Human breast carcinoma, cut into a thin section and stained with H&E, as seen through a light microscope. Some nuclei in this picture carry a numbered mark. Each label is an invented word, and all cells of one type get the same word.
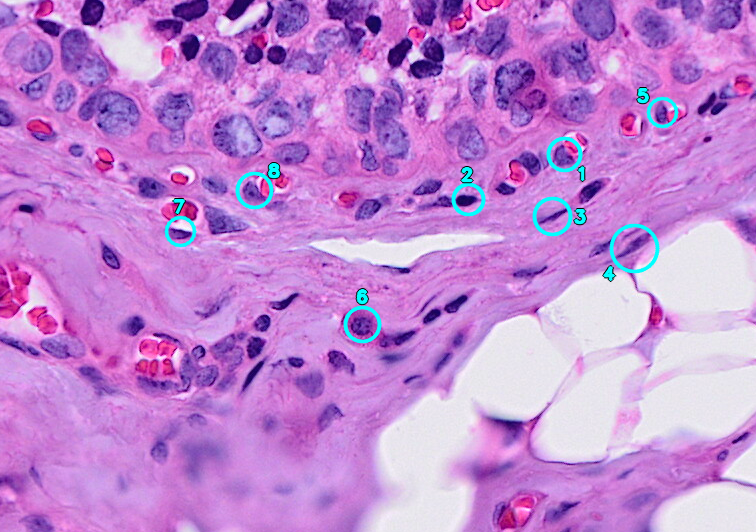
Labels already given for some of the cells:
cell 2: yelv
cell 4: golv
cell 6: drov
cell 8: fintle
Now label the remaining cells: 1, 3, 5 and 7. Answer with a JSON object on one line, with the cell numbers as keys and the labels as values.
{"1": "fintle", "3": "golv", "5": "fintle", "7": "fintle"}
